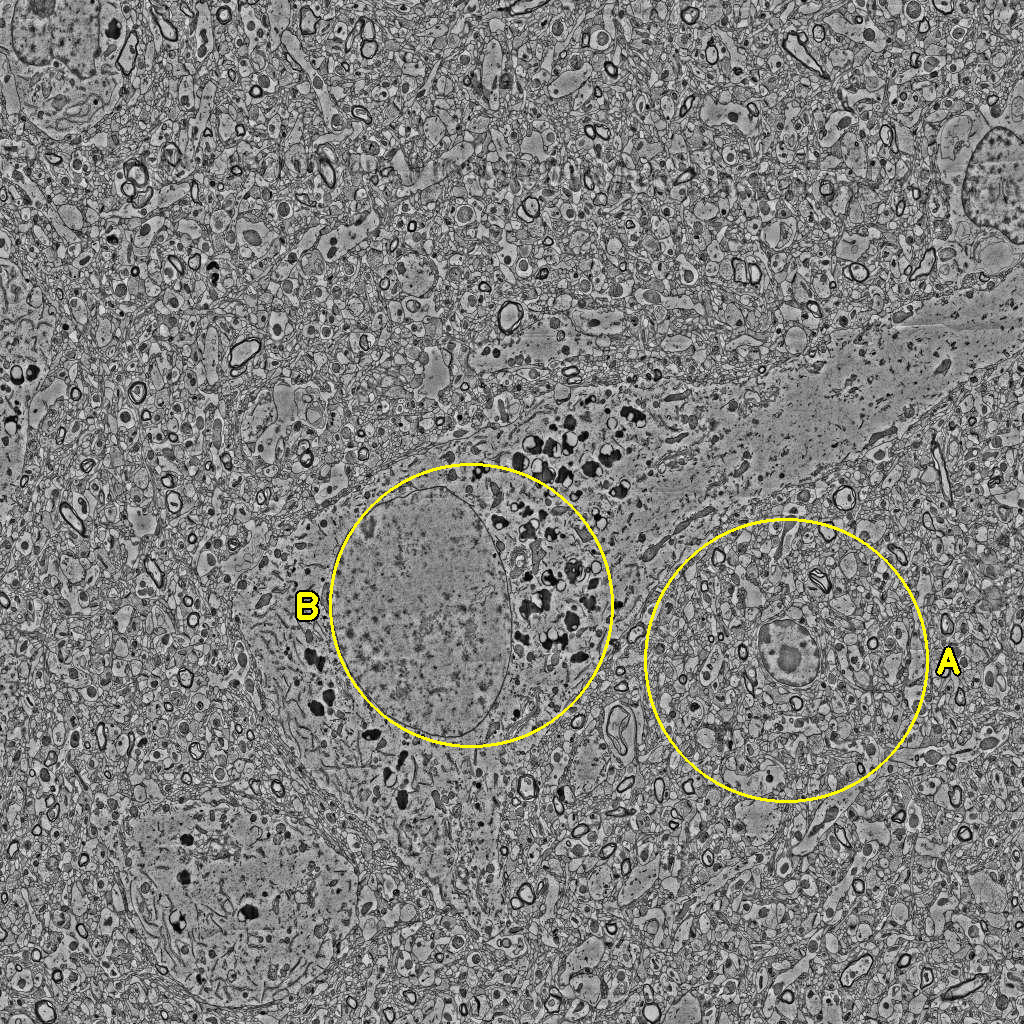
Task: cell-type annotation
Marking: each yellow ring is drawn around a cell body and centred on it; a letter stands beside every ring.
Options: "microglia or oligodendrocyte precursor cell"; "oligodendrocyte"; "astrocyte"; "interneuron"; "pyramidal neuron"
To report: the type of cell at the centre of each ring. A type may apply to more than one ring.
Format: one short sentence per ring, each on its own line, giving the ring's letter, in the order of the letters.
Ring A is centred on a microglial cell or oligodendrocyte precursor cell.
Ring B is centred on a pyramidal neuron.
